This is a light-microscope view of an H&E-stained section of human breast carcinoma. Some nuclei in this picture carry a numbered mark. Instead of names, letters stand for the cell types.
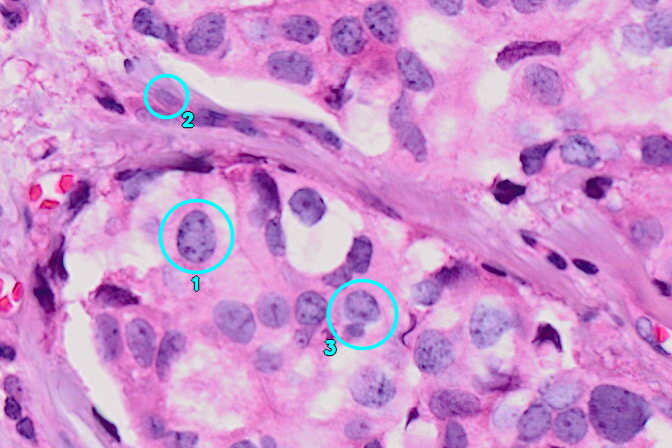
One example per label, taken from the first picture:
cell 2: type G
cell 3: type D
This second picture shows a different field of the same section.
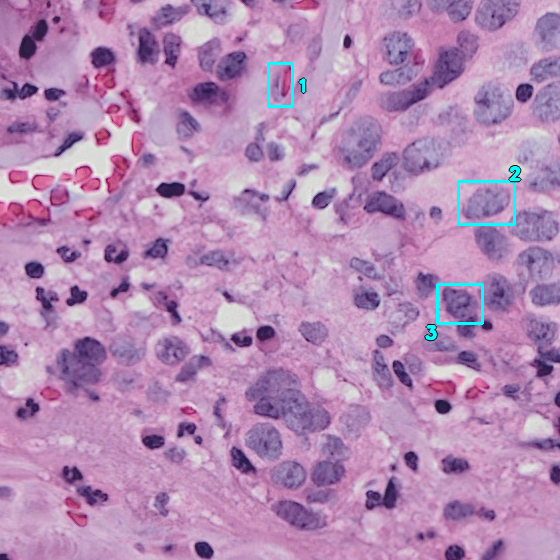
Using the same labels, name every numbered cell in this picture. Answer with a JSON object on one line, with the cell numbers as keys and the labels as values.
{"1": "type G", "2": "type D", "3": "type D"}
